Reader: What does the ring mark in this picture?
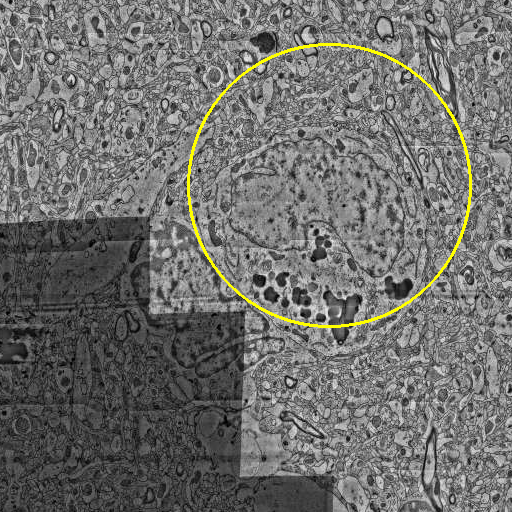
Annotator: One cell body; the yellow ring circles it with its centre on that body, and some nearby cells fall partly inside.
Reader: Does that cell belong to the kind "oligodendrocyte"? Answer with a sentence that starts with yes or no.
No, the cell at the ring's centre in this picture is of another kind.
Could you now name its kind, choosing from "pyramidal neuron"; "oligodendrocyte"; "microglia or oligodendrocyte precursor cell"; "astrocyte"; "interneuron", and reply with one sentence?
Instead, the cell at the centre of the ring is an interneuron.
